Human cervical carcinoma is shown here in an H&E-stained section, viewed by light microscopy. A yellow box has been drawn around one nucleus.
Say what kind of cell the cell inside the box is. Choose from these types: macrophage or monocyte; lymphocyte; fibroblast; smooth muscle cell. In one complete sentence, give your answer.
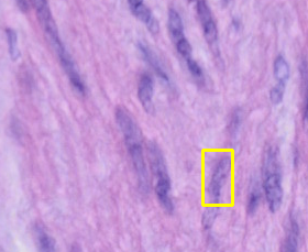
By cell type, the cell inside the box is a smooth muscle cell.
